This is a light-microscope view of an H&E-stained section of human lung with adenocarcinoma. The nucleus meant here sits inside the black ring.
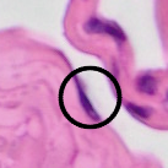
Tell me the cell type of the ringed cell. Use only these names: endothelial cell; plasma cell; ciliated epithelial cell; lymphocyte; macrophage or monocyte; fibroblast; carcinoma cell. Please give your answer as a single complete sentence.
To be brief about it, the ringed cell is an endothelial cell.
